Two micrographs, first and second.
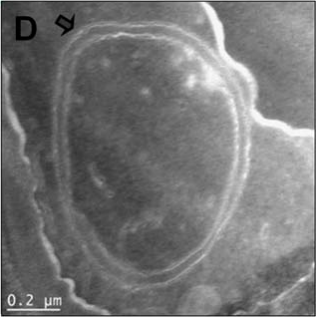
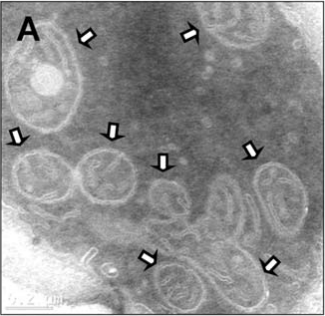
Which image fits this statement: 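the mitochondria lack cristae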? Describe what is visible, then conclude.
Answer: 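The first image. First image: the double-membrane organelle has a smooth, homogeneous interior without inner folds. Second image: the oval organelles contain many inner membrane folds.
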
